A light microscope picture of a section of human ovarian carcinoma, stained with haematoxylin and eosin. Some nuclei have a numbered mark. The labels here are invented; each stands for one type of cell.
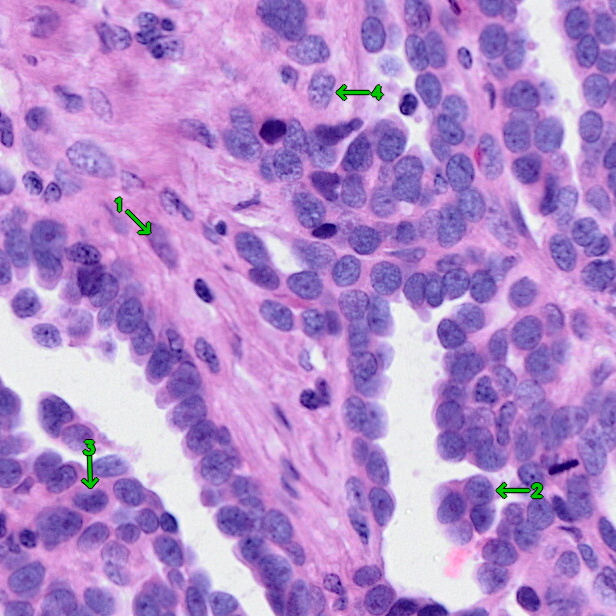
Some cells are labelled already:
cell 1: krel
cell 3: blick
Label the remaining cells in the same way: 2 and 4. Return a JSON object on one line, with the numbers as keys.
{"2": "blick", "4": "krel"}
